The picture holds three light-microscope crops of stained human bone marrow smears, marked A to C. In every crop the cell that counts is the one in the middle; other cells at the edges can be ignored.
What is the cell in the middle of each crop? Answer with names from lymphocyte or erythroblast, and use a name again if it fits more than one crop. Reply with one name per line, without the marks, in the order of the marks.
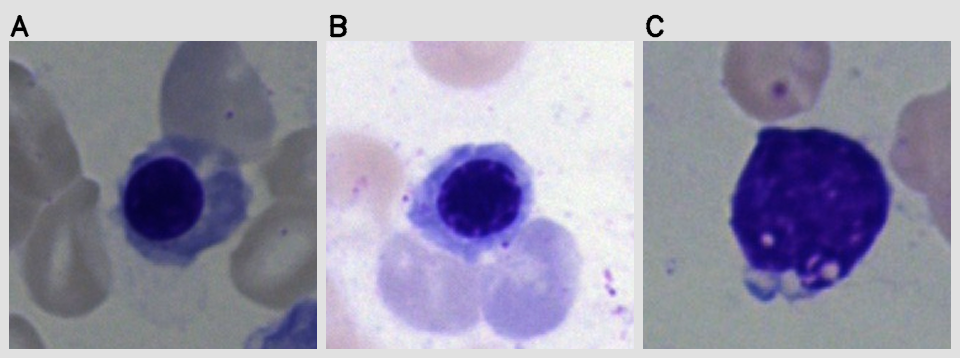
erythroblast
erythroblast
lymphocyte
